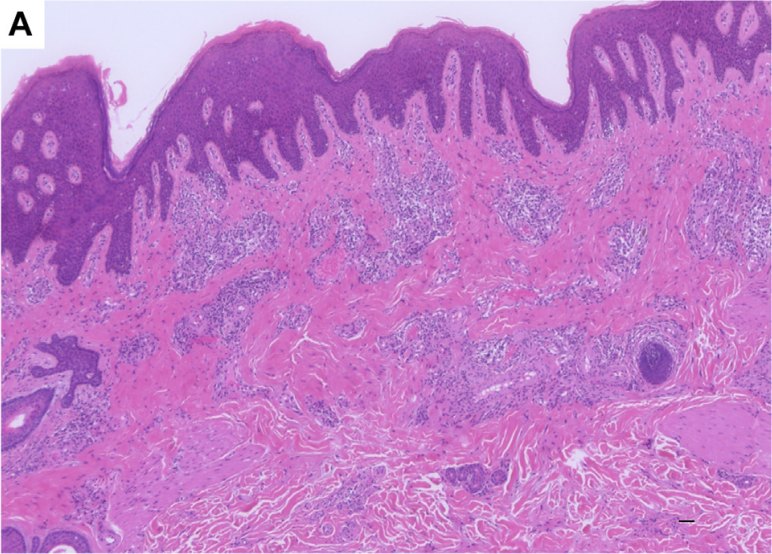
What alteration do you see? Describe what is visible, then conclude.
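The purple surface epithelium is markedly thickened. Rete ridges are long and extend deep into the pink dermis.
Hence: acanthosis.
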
